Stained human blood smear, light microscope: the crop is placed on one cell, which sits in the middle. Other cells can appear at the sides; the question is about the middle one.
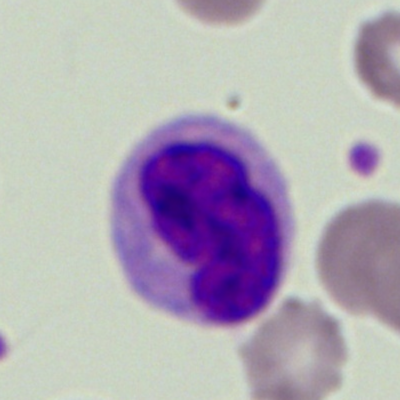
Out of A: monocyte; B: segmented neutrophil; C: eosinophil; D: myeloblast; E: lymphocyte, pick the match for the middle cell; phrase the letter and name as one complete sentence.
Option A, which names the central cell as a monocyte, is correct.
